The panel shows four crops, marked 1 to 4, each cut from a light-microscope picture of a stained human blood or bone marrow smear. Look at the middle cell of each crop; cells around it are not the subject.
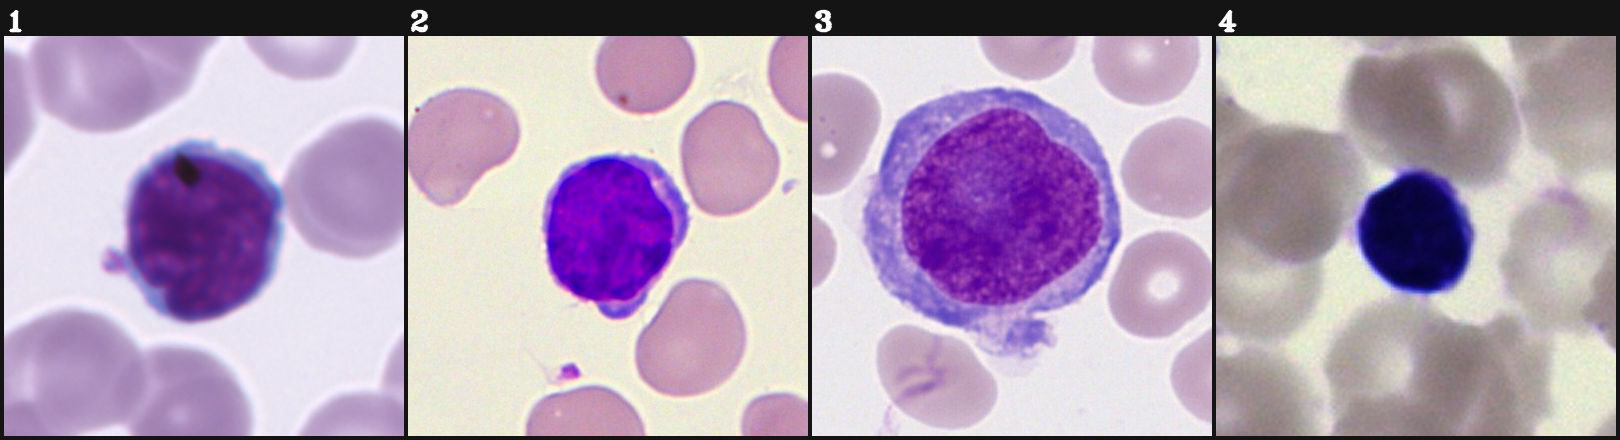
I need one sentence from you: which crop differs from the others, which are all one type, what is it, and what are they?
Crop 3 shows a blast, while all of the others show lymphocytes.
